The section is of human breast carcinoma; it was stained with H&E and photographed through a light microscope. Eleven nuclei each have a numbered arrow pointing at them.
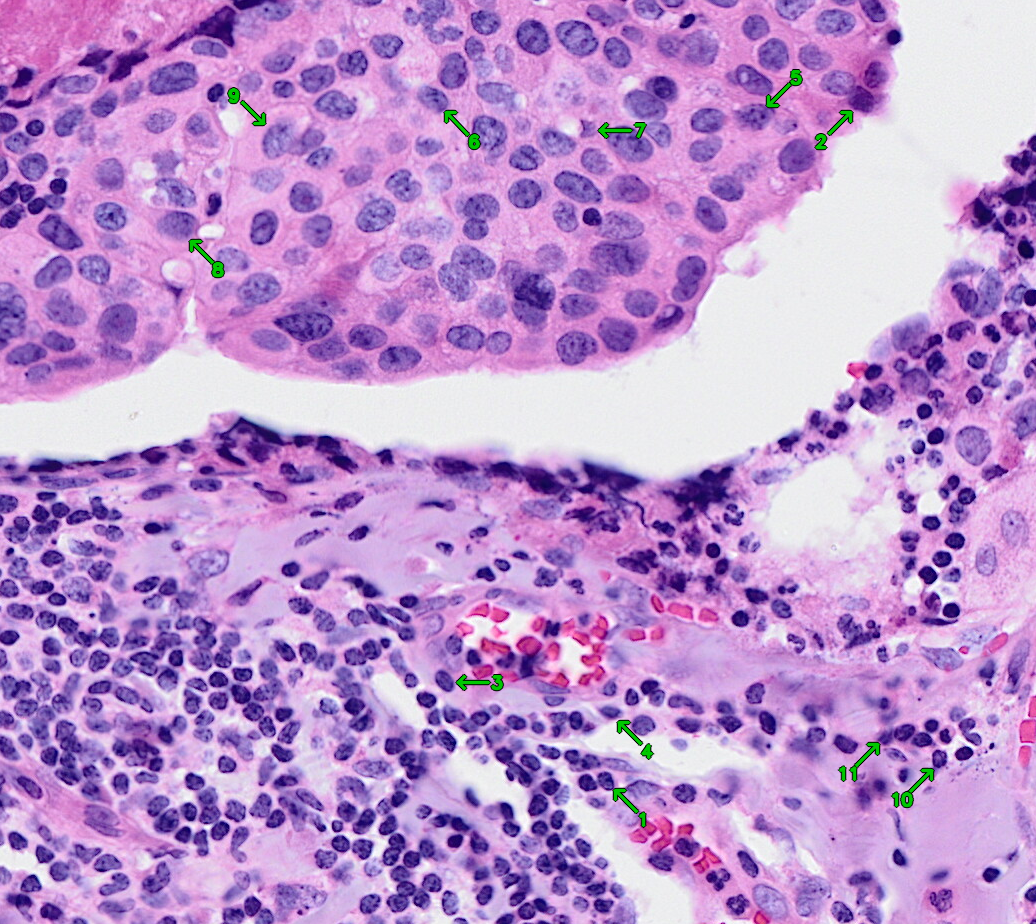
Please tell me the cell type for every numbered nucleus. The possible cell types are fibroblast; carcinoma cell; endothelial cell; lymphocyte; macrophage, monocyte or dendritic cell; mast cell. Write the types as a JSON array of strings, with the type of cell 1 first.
["lymphocyte", "carcinoma cell", "lymphocyte", "lymphocyte", "carcinoma cell", "carcinoma cell", "carcinoma cell", "carcinoma cell", "carcinoma cell", "lymphocyte", "lymphocyte"]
